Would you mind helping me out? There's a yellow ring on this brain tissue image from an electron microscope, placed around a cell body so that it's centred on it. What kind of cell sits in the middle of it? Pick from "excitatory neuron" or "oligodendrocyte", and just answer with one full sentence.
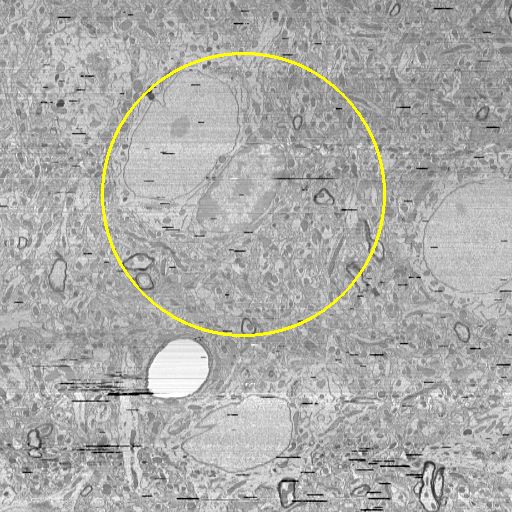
What sits in the middle of that yellow ring is an oligodendrocyte, from your choices.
